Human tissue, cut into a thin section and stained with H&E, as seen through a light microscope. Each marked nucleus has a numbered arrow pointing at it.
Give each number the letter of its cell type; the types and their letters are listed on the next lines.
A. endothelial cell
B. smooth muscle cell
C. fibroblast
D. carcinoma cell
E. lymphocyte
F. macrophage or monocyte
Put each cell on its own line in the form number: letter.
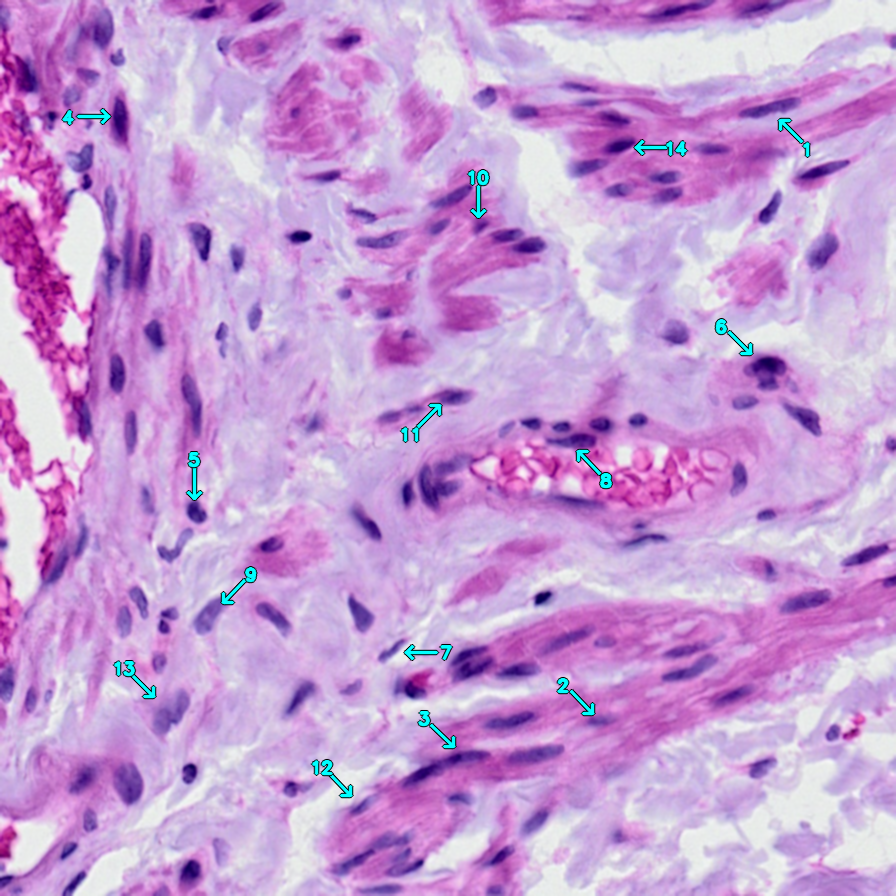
1: B
2: B
3: B
4: B
5: E
6: A
7: C
8: A
9: C
10: B
11: B
12: B
13: C
14: B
